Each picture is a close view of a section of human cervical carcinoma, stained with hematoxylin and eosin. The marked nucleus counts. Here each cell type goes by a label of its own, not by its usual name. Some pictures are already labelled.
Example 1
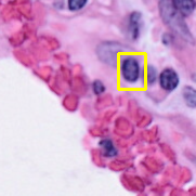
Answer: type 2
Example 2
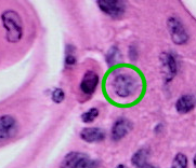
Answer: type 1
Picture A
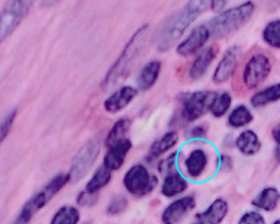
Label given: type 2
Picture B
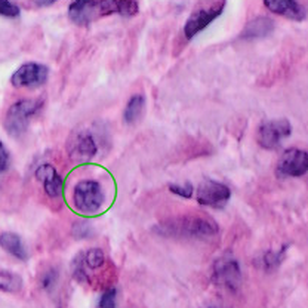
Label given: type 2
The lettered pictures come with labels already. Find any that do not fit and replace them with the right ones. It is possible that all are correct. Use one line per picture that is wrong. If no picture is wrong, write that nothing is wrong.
All correct.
